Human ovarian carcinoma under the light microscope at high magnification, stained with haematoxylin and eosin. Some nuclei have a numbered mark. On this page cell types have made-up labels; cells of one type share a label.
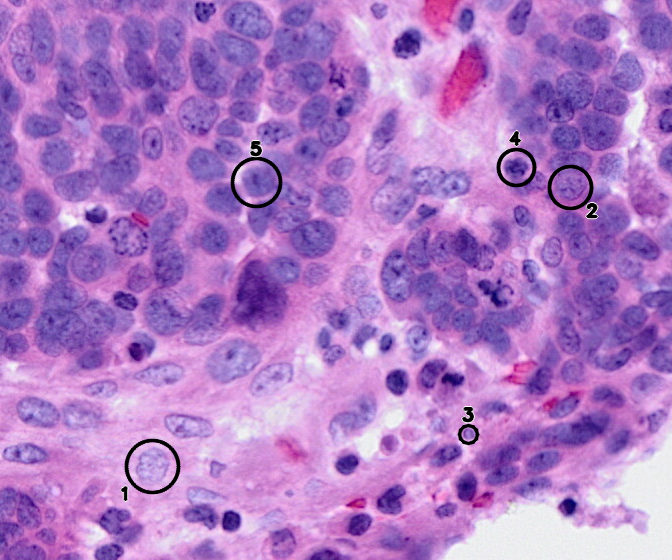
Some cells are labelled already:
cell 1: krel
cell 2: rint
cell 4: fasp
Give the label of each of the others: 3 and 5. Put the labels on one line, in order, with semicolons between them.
fasp; rint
